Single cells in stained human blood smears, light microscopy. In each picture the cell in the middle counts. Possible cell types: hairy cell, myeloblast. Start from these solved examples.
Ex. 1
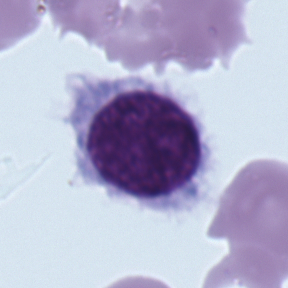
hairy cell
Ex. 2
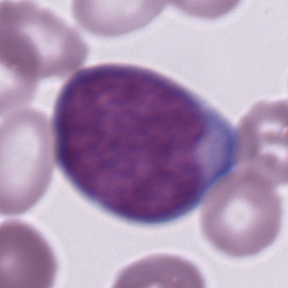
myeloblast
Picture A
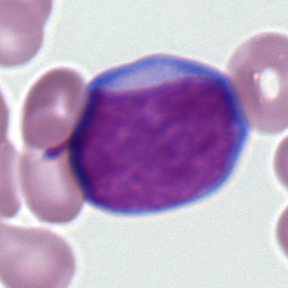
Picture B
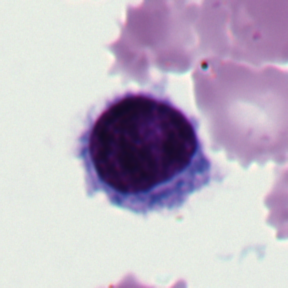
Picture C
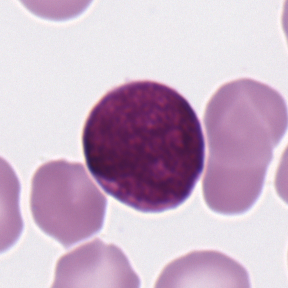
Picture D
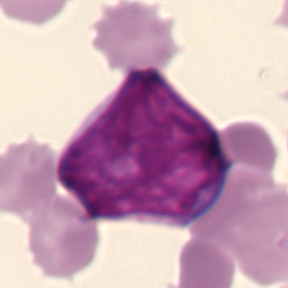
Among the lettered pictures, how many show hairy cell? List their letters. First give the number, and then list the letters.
Count: 1 (B)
